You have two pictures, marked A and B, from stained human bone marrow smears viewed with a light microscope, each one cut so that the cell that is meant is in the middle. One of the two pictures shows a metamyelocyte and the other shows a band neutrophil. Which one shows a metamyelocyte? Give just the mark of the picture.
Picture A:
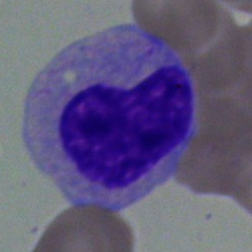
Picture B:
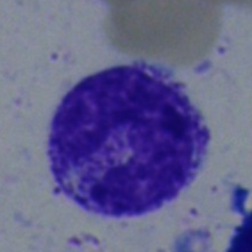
A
